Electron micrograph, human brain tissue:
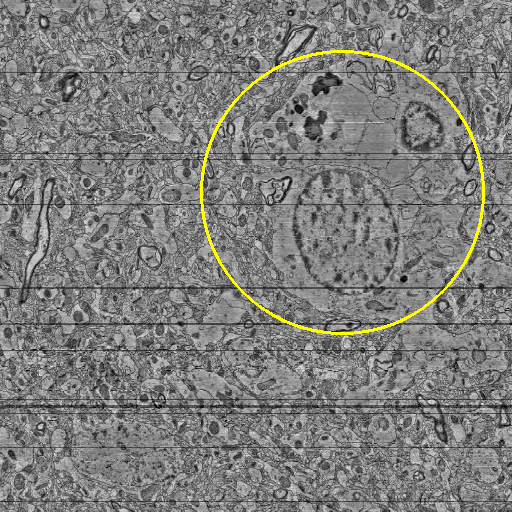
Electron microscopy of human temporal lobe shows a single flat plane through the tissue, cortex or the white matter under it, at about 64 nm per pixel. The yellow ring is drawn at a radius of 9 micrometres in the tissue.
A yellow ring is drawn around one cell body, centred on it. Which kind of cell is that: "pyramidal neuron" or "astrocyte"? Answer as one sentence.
It is an astrocyte at the centre of the ring.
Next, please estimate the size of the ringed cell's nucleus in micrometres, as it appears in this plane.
About 8 by 6 micrometers, in this plane.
